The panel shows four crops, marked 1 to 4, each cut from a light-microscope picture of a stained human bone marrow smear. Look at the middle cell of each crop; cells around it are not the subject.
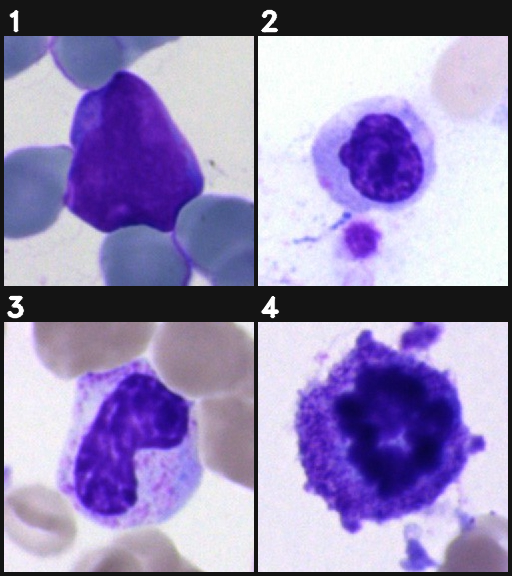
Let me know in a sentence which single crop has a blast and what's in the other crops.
Among these crops, crop 1 shows a blast, while crop 2 is an erythroblast, crop 3 is a band neutrophil and crop 4 is a promyelocyte.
